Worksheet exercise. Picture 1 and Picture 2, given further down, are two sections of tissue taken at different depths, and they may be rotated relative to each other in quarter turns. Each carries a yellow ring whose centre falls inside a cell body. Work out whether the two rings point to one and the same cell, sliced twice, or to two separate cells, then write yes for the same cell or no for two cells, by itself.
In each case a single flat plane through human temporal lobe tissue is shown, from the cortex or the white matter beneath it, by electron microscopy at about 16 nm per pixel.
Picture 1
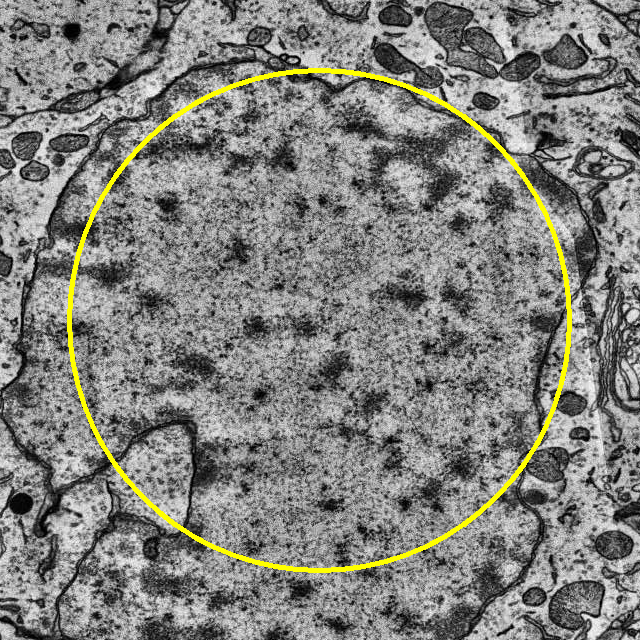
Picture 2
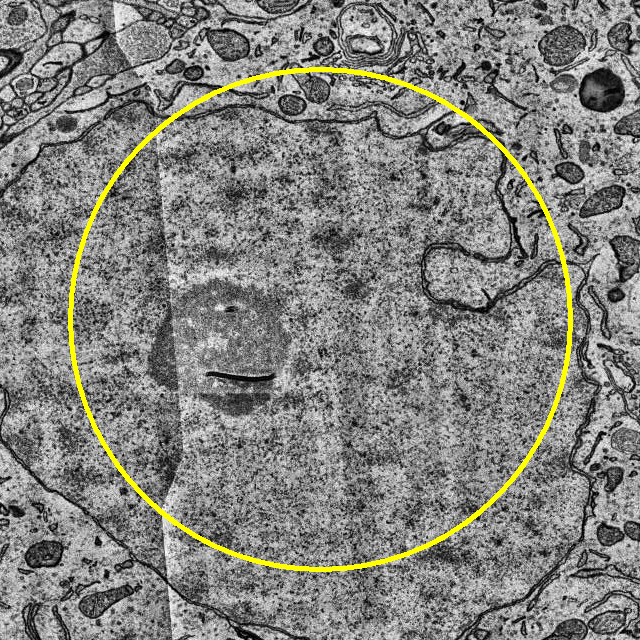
yes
